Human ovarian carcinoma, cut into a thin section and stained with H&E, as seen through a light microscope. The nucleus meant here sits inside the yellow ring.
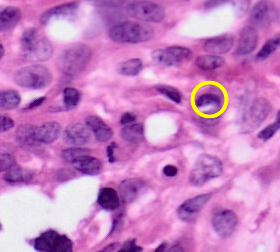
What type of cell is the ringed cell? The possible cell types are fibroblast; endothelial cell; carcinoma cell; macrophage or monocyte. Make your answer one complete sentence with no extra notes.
To be brief about it, the ringed cell is an endothelial cell.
